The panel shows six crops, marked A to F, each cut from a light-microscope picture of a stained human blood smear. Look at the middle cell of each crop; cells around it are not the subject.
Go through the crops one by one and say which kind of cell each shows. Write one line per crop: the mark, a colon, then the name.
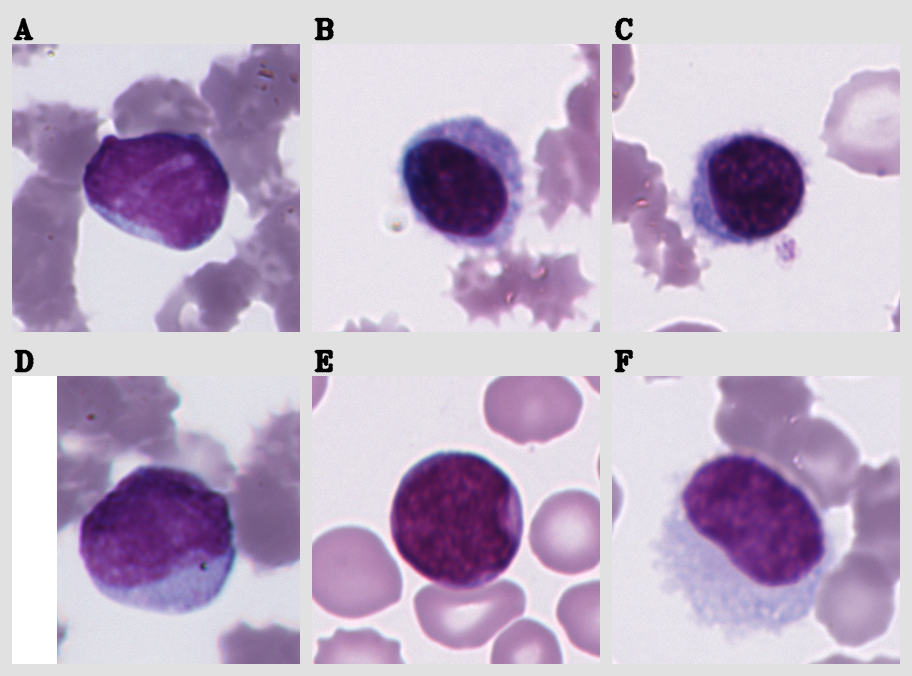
A: myeloblast
B: hairy cell
C: hairy cell
D: myeloblast
E: myeloblast
F: hairy cell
